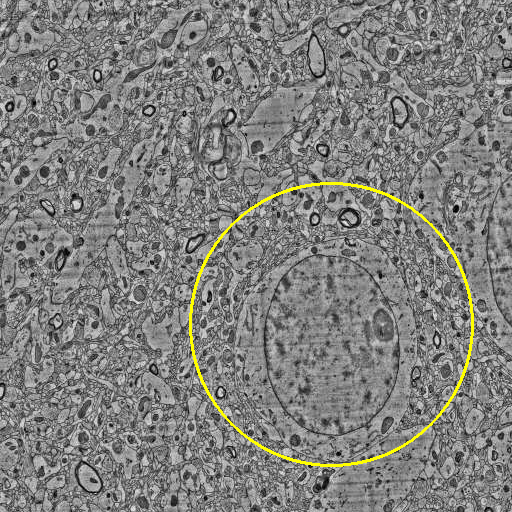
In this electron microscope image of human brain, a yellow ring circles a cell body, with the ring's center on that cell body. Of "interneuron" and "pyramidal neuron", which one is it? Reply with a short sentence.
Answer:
It is a pyramidal neuron at the center of the ring.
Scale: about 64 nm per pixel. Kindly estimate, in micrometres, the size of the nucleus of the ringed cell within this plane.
Approximately 12 x 9 micrometres in this plane.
